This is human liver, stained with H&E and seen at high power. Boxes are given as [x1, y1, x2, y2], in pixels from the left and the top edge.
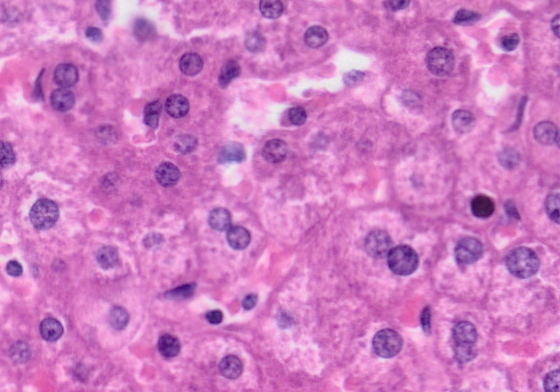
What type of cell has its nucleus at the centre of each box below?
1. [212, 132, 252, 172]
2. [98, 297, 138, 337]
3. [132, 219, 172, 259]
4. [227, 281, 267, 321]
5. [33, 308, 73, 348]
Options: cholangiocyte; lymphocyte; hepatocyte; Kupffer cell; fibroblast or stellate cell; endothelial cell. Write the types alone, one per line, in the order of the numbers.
endothelial cell
hepatocyte
hepatocyte
lymphocyte
hepatocyte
